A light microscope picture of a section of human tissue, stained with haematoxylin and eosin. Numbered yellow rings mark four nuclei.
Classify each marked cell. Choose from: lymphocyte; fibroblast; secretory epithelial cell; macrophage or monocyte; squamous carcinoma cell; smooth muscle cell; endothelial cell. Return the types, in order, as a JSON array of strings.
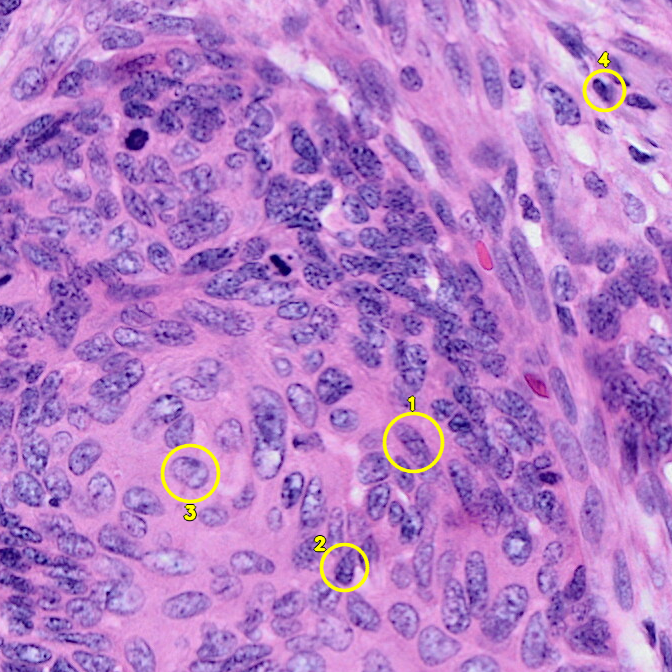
["squamous carcinoma cell", "squamous carcinoma cell", "squamous carcinoma cell", "lymphocyte"]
